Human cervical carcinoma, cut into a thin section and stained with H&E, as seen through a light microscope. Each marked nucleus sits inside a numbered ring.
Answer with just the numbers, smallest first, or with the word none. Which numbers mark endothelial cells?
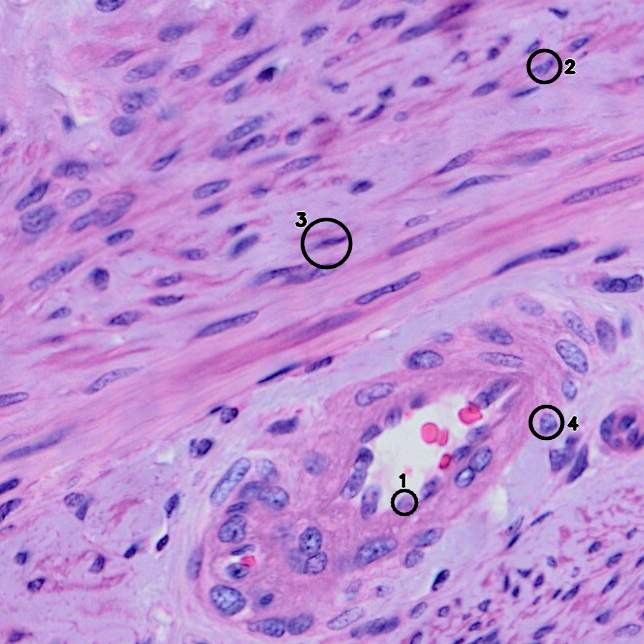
1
